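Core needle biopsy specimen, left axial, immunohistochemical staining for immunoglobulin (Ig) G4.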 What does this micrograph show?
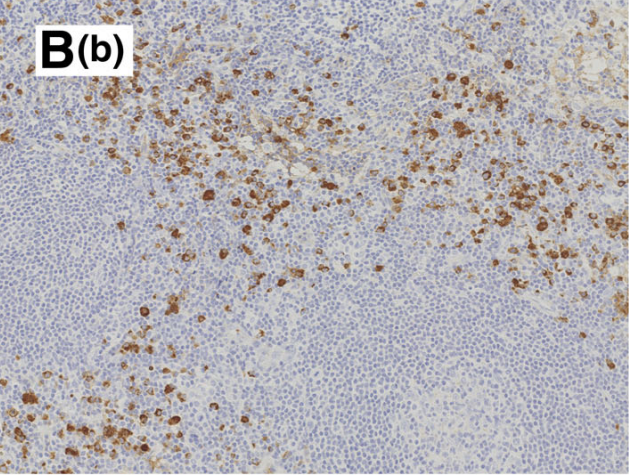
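This is a lymph node in which many plasma cells are stained brown, set among unstained lymphocytes with blue nuclei. The brown cells are round and stained throughout their cytoplasm, lying singly or in loose groups. They gather in the region between the denser, paler zones of tightly packed small lymphocytes, which are nearly free of brown cells.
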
